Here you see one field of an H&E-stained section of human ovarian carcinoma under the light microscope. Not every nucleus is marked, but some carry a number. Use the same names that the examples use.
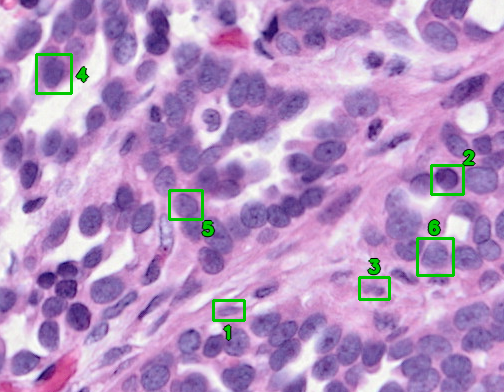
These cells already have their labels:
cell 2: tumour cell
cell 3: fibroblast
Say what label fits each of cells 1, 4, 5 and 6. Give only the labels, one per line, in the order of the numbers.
fibroblast
tumour cell
tumour cell
tumour cell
